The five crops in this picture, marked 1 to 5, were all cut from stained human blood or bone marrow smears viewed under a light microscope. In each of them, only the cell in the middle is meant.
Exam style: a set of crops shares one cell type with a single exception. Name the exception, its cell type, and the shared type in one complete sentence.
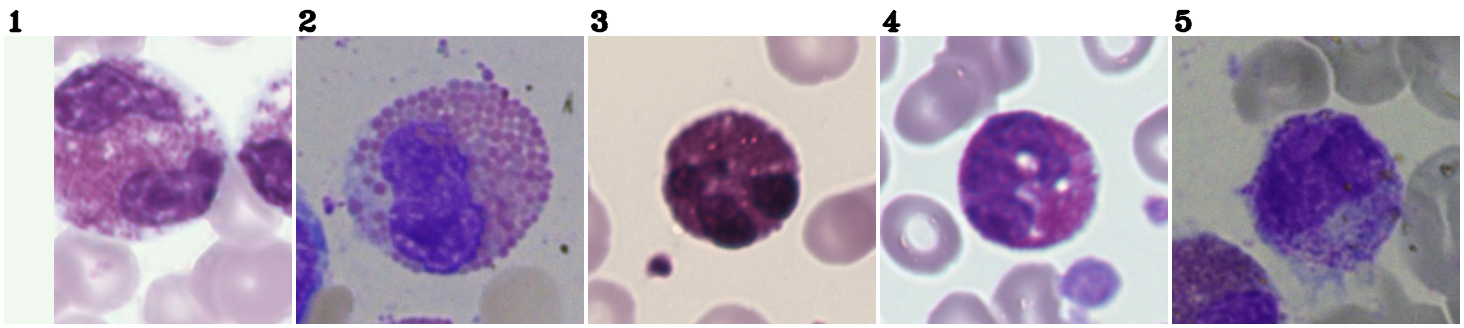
Crop 5 is the only crop with a metamyelocyte, the others all showing eosinophils.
